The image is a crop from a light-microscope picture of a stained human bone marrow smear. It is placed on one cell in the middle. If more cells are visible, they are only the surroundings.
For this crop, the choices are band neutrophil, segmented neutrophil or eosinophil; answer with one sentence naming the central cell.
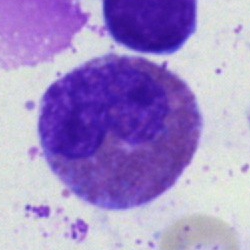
The cell the crop is centered on is an eosinophil.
